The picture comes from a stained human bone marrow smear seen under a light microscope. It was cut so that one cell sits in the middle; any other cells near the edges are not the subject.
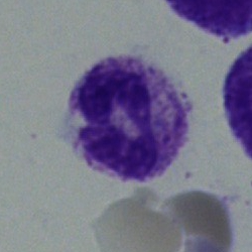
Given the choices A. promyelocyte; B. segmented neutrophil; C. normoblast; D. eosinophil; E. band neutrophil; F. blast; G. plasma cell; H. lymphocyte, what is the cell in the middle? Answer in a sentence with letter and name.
Well, the cell in the middle is a segmented neutrophil, making option B right.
